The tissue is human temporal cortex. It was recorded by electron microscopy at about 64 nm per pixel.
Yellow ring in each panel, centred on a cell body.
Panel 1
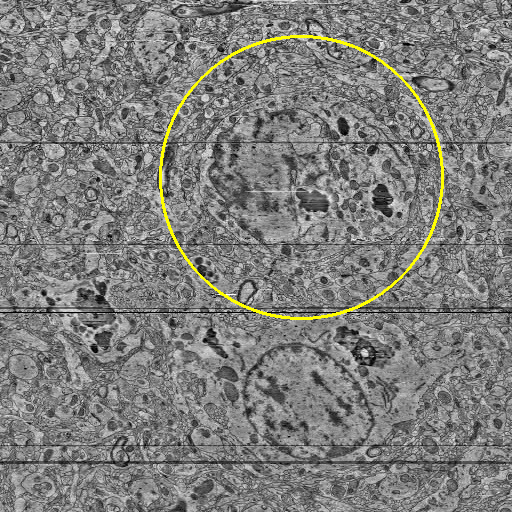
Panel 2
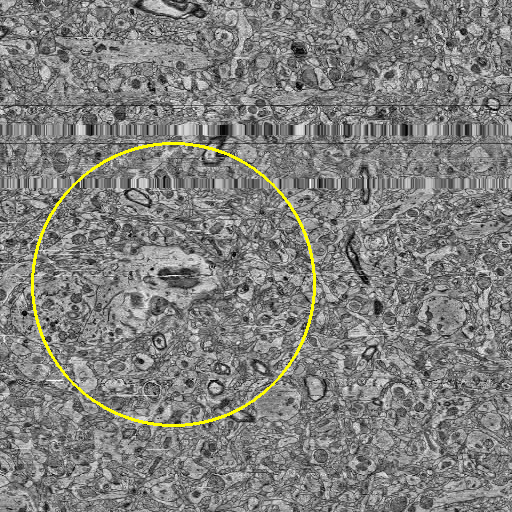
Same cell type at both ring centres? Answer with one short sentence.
No, the two cells are of two types.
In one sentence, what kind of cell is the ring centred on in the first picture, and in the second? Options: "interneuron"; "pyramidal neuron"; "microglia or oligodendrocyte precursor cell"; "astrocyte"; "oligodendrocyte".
The cell at the centre of the second ring is a microglial cell or oligodendrocyte precursor cell; the first ring's cell is an interneuron.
